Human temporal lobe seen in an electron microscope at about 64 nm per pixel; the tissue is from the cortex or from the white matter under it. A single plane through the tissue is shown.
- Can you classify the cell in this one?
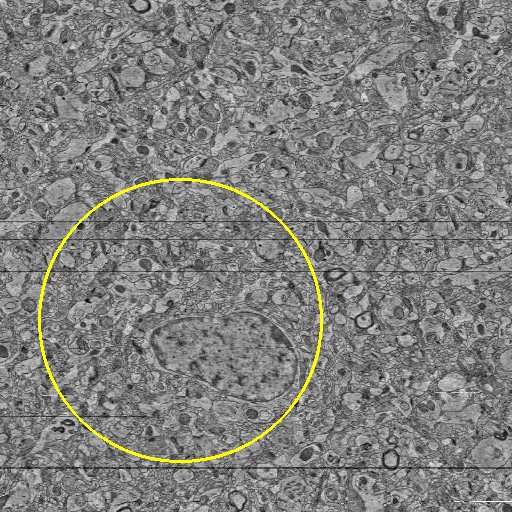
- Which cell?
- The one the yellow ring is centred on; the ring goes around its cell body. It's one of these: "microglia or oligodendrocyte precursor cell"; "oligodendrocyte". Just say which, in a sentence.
The cell body in the ring belongs to a microglial cell or oligodendrocyte precursor cell.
